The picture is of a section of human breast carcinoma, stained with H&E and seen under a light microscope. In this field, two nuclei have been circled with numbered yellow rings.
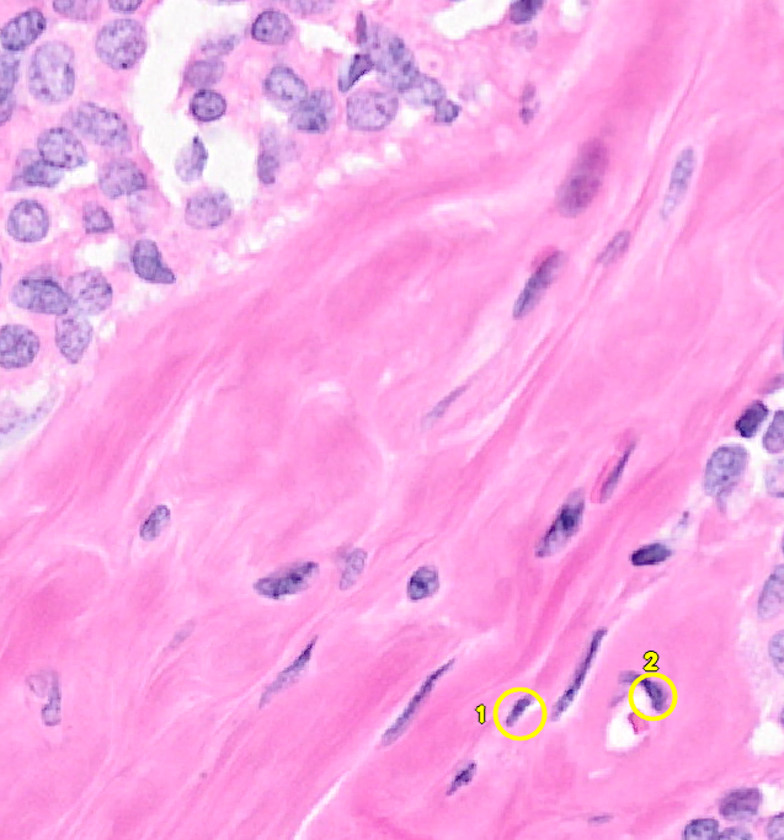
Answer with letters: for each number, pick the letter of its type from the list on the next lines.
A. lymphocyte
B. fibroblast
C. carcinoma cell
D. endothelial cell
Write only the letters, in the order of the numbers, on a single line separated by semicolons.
B; D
